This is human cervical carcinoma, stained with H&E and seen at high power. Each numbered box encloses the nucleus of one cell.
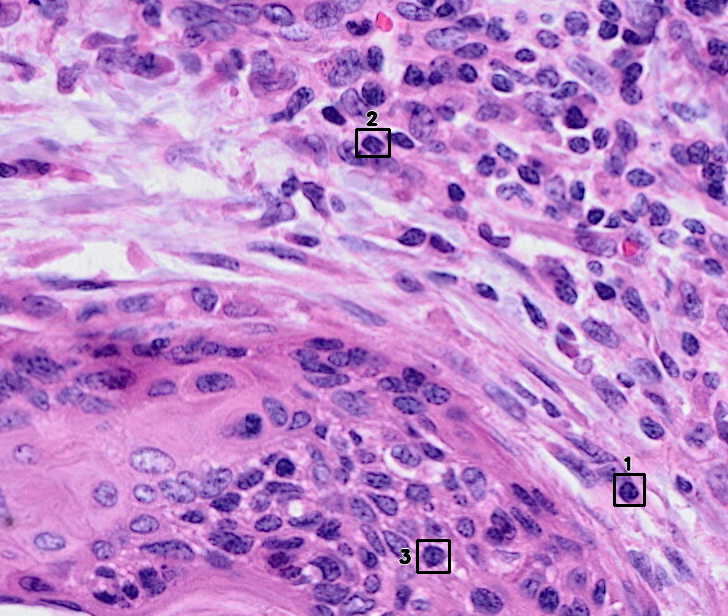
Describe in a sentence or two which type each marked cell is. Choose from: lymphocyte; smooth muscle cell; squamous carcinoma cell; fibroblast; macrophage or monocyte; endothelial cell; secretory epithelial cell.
Cells 1 and 2 are lymphocytes. Cell 3 is a squamous carcinoma cell.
